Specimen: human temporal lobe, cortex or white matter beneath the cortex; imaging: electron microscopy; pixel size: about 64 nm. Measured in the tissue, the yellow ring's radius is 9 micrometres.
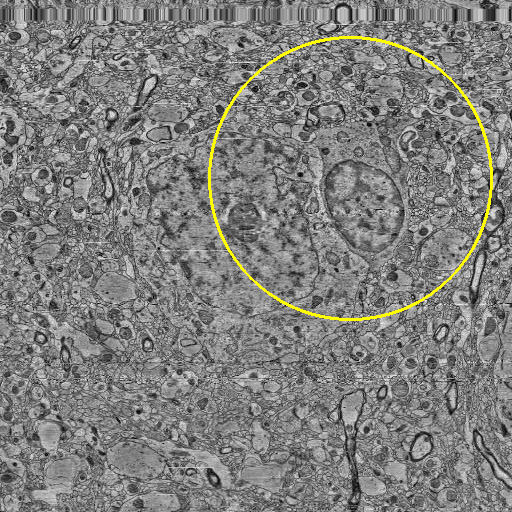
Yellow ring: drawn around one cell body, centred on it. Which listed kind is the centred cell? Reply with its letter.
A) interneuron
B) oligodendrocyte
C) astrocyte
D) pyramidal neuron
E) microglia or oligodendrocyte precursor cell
B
